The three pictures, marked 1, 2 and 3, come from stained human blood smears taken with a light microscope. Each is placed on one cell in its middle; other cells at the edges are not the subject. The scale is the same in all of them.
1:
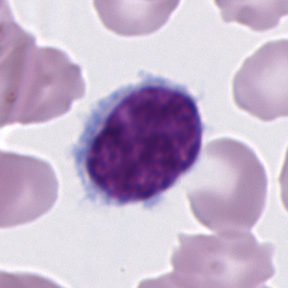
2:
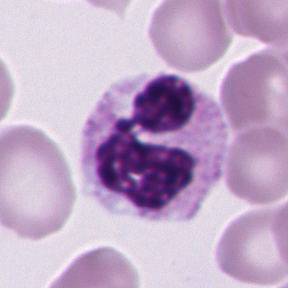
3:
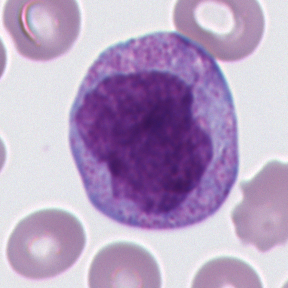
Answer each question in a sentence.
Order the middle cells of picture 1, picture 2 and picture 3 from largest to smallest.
The order is 3, 2, 1, beginning with the largest.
